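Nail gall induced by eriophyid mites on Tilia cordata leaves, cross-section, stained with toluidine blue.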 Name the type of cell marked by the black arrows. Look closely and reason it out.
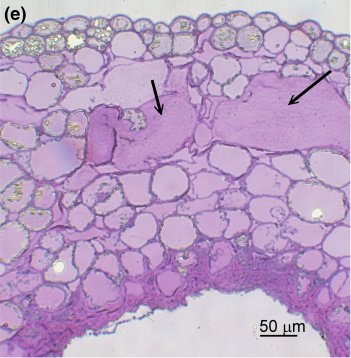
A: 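The arrows point to large cells filled with homogeneous pink-purple content. These cells stand out among thin-walled, mostly clear parenchyma cells.
Hence: idioblasts.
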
